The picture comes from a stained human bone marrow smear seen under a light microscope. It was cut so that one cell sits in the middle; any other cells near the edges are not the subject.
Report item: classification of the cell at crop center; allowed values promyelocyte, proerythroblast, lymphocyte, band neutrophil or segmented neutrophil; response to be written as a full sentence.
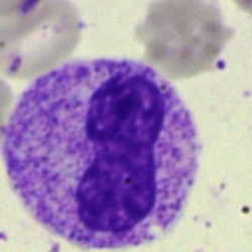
This particular crop is centered on a band neutrophil.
